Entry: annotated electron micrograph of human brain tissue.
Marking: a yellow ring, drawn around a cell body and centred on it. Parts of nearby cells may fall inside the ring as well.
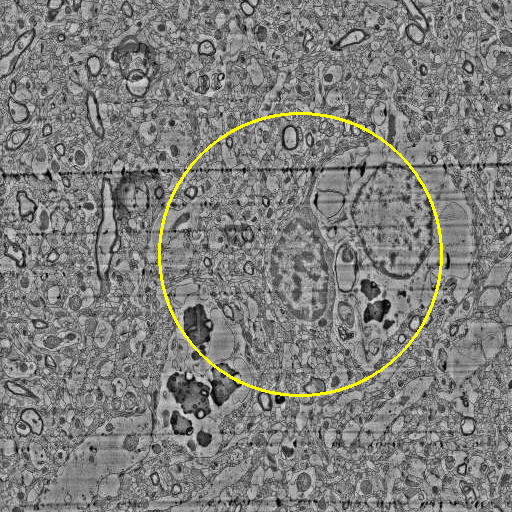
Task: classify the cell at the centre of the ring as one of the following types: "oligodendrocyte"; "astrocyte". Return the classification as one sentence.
The marked cell is classified as an oligodendrocyte.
